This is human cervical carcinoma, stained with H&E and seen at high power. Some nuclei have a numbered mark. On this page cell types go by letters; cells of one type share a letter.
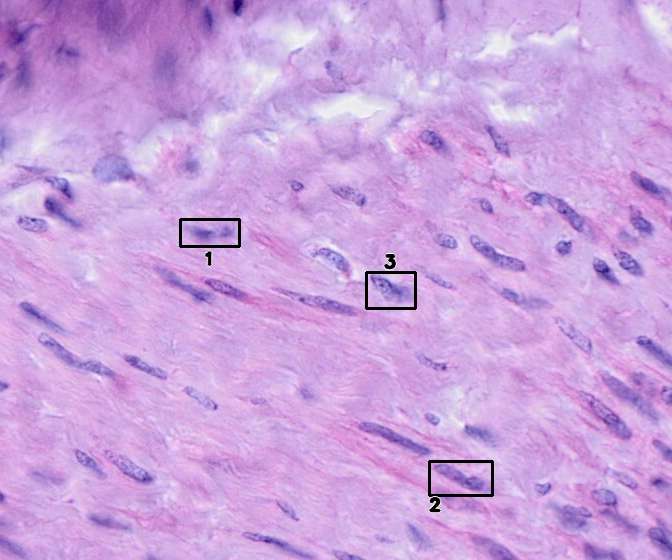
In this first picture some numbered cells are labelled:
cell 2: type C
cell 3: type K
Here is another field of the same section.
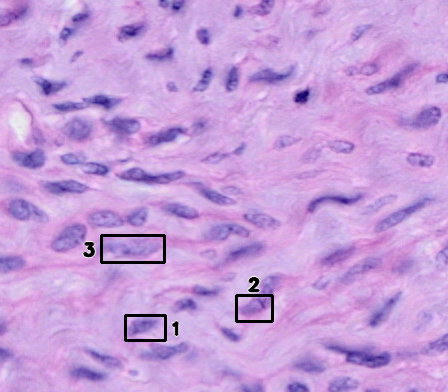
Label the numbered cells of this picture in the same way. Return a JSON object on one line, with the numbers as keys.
{"1": "type K", "2": "type C", "3": "type C"}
